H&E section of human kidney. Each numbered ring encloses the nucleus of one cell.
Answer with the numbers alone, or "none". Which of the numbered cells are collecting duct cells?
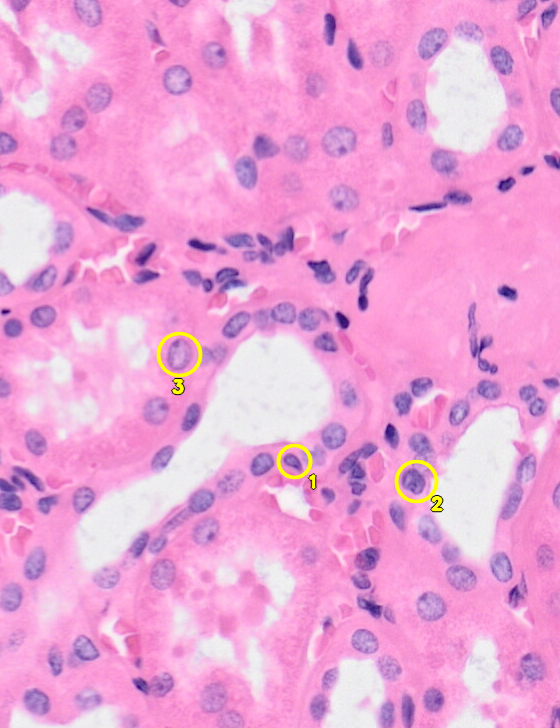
1, 2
